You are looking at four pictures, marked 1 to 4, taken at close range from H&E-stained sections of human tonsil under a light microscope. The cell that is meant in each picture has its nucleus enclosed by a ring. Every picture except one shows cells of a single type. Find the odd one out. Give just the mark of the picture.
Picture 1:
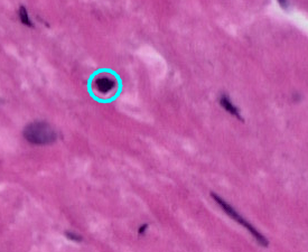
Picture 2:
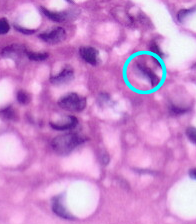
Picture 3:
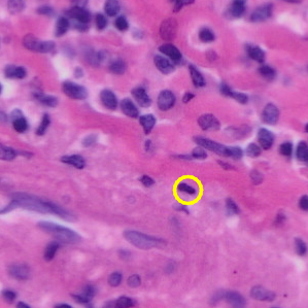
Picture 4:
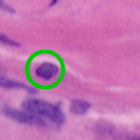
2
